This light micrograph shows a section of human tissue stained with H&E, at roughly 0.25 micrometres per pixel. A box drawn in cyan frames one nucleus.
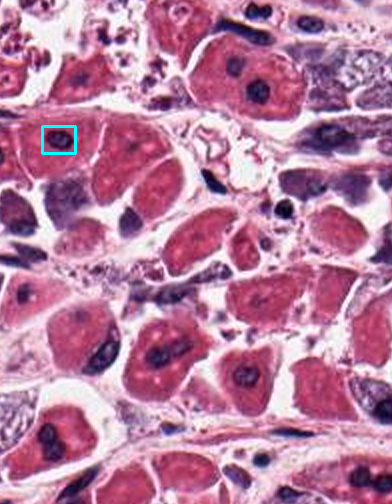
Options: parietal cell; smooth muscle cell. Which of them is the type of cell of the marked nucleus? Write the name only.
parietal cell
